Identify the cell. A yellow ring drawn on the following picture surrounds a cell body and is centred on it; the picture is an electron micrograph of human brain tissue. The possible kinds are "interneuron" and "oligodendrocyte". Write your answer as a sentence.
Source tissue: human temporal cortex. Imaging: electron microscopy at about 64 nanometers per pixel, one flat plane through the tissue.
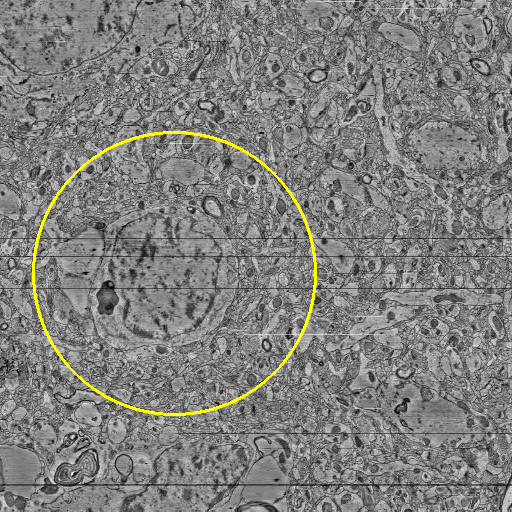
The cell identified by the ring is an interneuron.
